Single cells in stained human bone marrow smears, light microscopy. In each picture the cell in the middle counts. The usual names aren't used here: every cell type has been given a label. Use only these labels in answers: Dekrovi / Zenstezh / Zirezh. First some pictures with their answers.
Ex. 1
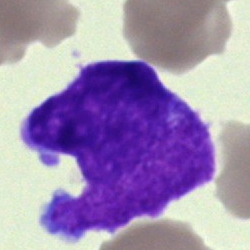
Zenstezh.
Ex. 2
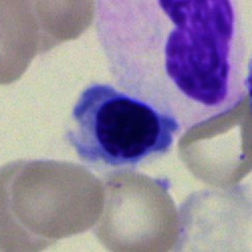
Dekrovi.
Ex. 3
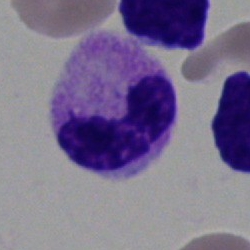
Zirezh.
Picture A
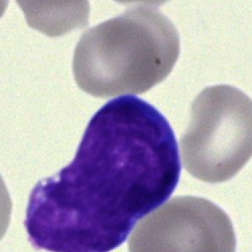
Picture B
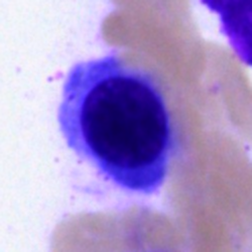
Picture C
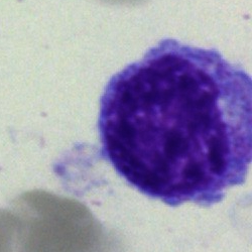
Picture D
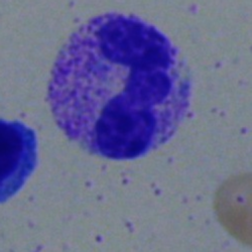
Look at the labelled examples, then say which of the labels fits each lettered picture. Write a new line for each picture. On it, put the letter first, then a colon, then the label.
A: Zenstezh.
B: Dekrovi.
C: Zenstezh.
D: Zirezh.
